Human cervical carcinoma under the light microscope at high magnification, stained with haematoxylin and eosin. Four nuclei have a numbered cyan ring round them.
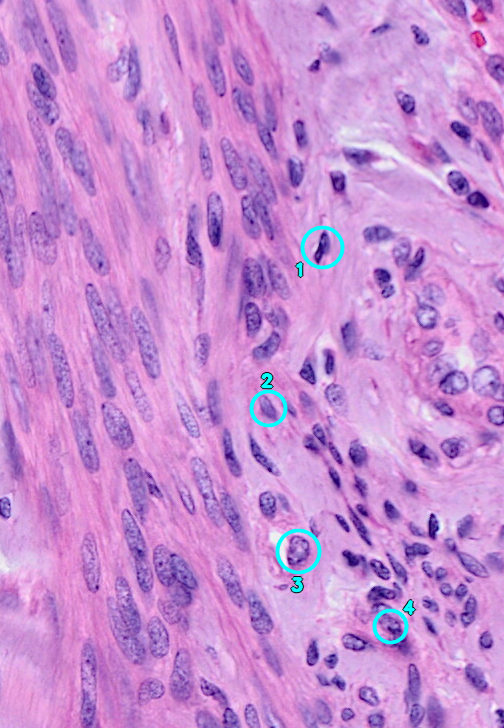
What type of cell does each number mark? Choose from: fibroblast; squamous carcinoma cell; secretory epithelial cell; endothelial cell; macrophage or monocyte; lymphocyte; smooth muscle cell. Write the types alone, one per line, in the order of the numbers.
lymphocyte
smooth muscle cell
endothelial cell
endothelial cell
